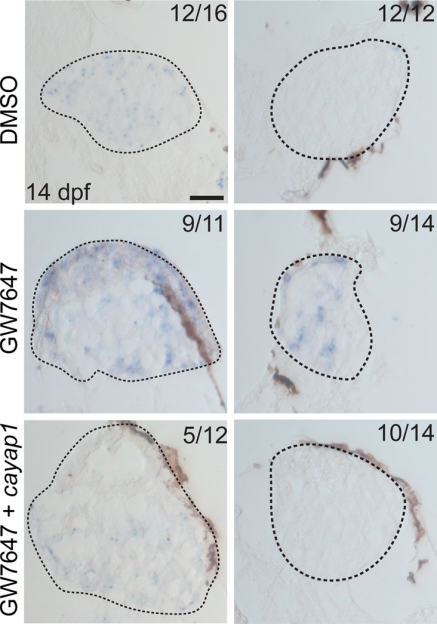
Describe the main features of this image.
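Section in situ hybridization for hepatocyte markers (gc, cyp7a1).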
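Scattered blue-purple deposits lie within the tissue, sparse in some sections and denser in others. Dark brown pigmented cells line parts of the liver's outer border.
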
